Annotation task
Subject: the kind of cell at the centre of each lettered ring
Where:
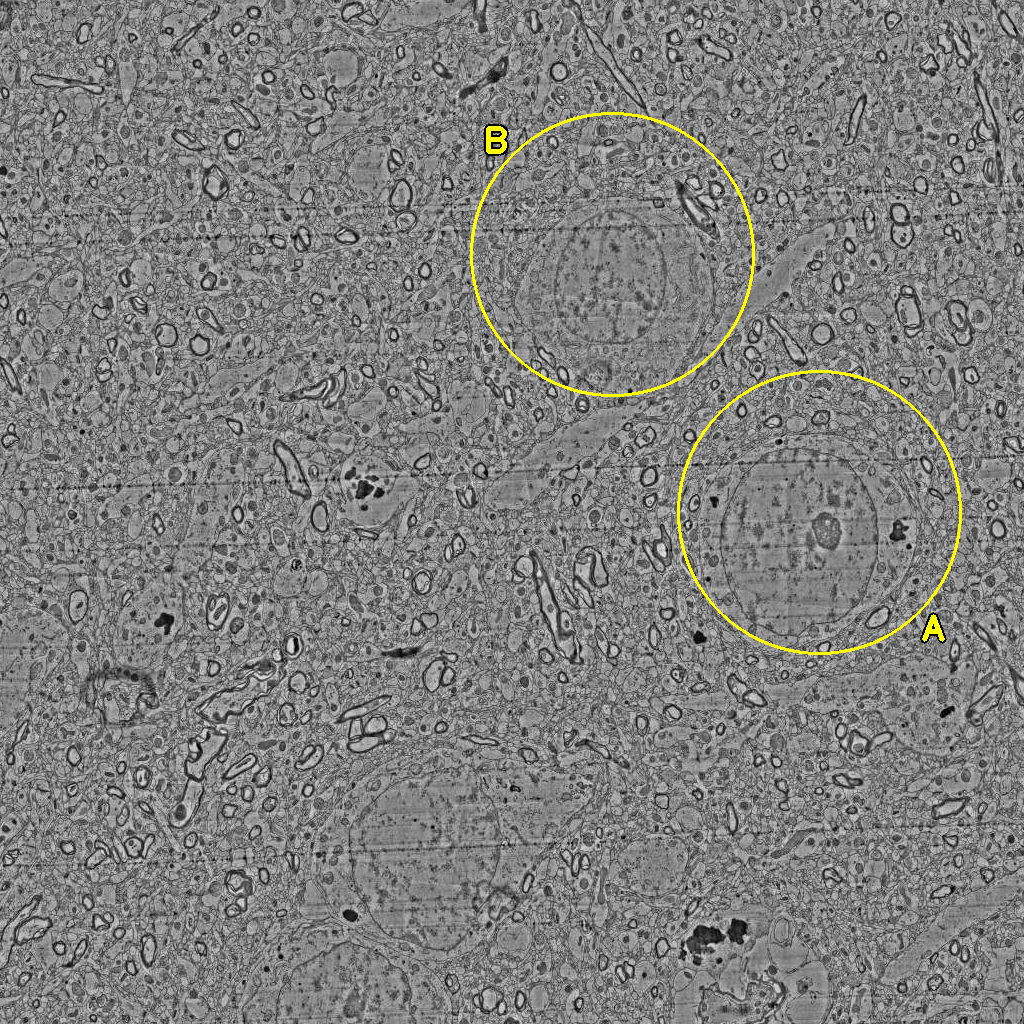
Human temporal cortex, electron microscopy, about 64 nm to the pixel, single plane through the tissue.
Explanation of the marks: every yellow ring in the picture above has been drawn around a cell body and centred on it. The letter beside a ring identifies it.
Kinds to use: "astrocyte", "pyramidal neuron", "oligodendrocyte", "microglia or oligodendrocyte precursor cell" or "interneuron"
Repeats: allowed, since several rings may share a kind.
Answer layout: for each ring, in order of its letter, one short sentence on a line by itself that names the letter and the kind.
The ring lettered A is drawn around a pyramidal neuron.
The ring lettered B is drawn around an interneuron.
